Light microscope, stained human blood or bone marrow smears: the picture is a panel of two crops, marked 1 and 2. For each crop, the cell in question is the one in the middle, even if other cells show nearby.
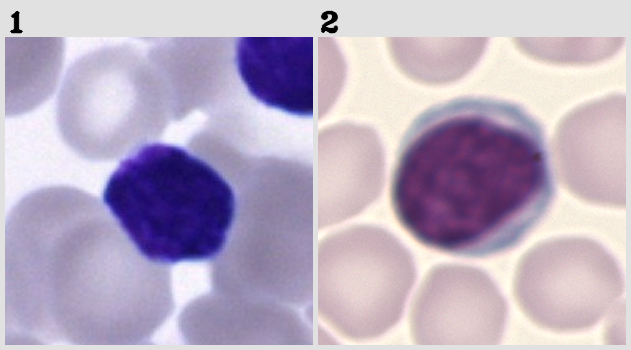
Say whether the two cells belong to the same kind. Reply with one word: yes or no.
yes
